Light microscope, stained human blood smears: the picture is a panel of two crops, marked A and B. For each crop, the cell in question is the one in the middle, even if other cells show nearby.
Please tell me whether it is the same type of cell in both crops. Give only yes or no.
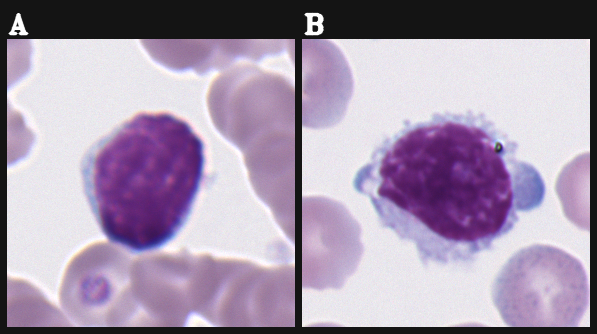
yes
